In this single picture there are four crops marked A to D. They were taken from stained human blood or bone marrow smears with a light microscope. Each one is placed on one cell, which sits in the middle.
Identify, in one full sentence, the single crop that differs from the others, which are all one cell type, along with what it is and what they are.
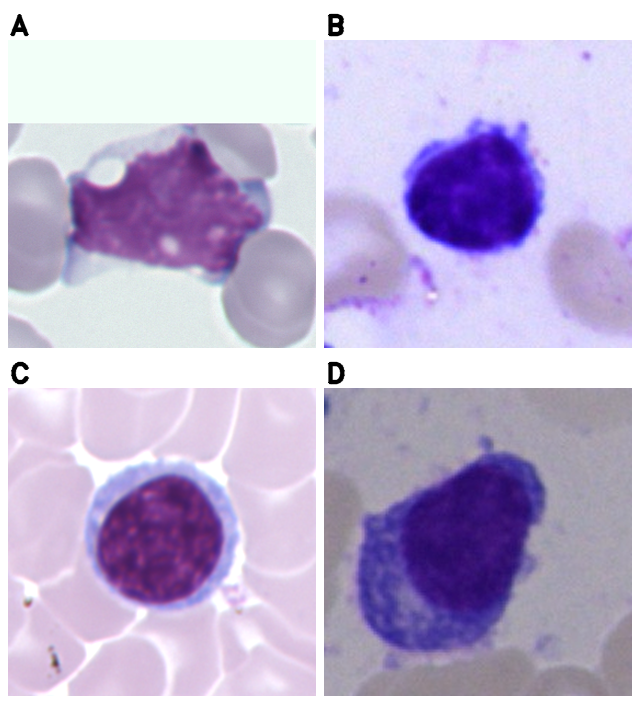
What sets crop D apart is that it is a plasma cell; the others are all lymphocytes.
